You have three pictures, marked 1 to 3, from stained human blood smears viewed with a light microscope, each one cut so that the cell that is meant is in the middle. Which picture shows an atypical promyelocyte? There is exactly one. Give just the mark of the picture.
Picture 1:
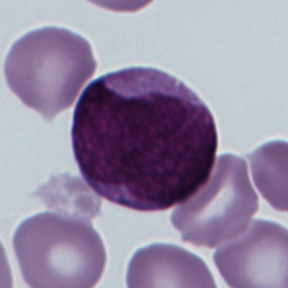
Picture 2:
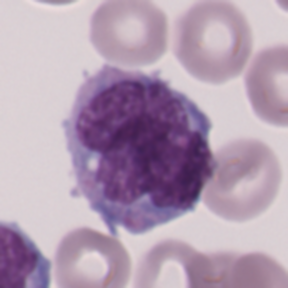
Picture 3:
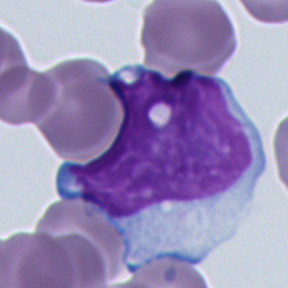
2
